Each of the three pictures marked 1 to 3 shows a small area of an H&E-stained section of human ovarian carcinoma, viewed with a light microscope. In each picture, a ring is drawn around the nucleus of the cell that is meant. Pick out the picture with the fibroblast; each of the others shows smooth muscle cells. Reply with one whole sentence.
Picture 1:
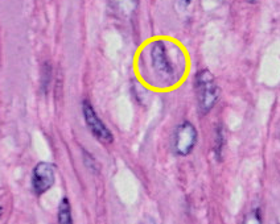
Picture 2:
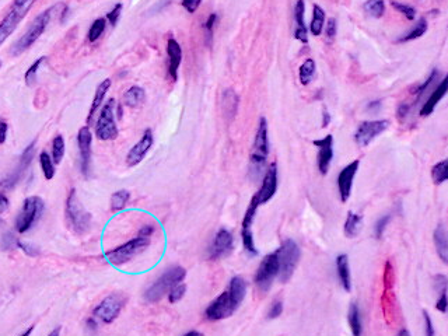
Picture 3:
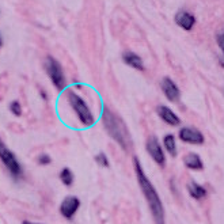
The cell in picture 1 is the fibroblast.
